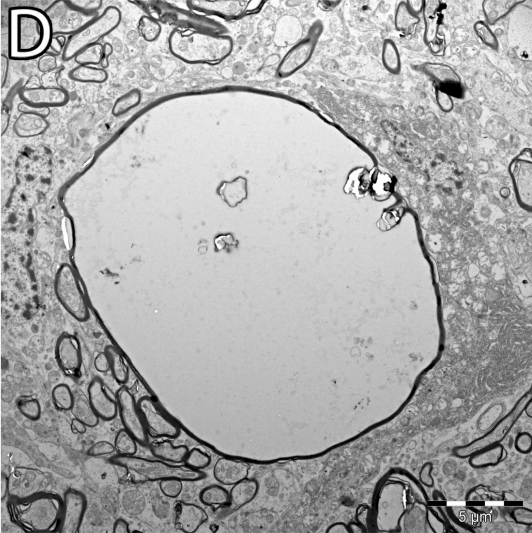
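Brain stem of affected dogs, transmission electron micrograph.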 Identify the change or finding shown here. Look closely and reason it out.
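Vacuoles surrounded by a thin myelin sheath. A large empty clear oval space fills the center. A thin dark rim lines the space. Many small myelinated axon profiles with dark rings lie around it.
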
